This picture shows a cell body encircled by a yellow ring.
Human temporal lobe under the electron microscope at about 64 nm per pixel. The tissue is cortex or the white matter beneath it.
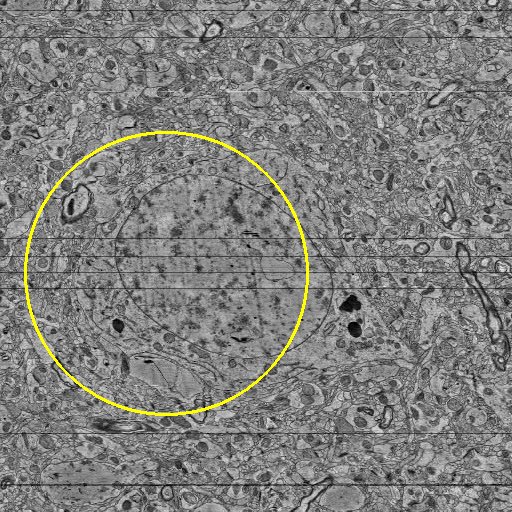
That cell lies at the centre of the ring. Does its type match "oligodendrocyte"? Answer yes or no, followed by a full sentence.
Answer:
No, in the picture, the ring surrounds a cell of another type at its centre.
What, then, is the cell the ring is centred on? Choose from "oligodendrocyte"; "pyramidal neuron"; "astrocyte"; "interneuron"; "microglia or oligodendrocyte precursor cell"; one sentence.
The answer is that the ringed cell is a pyramidal neuron.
